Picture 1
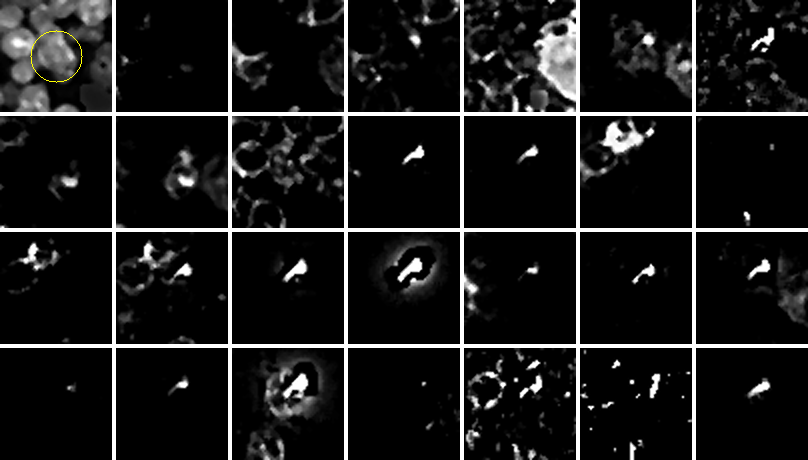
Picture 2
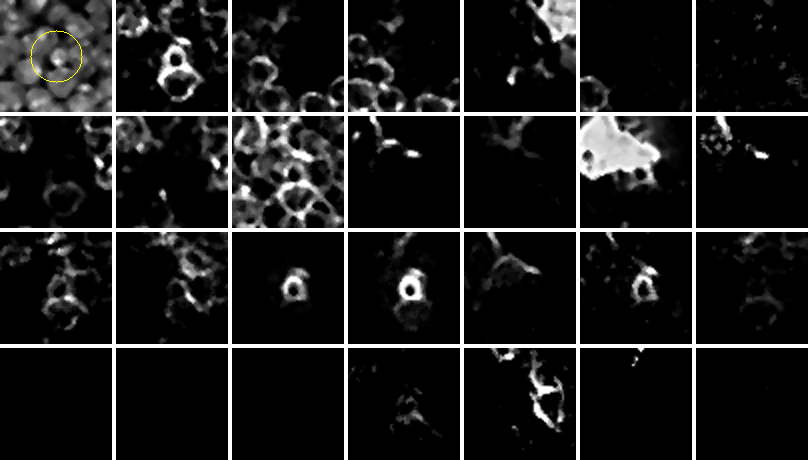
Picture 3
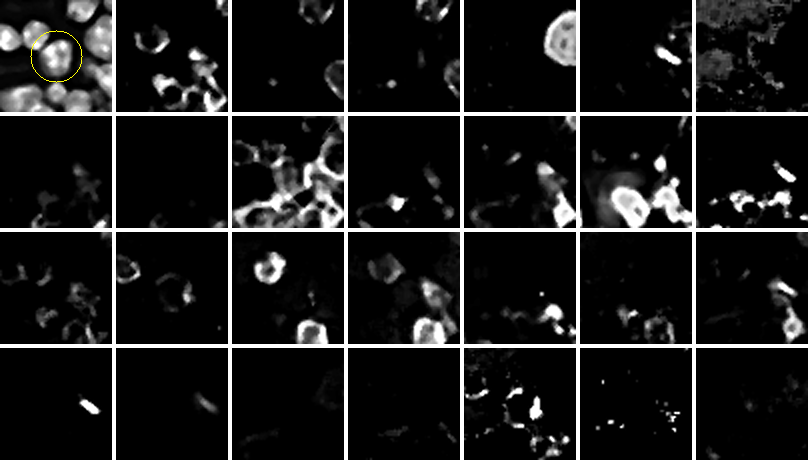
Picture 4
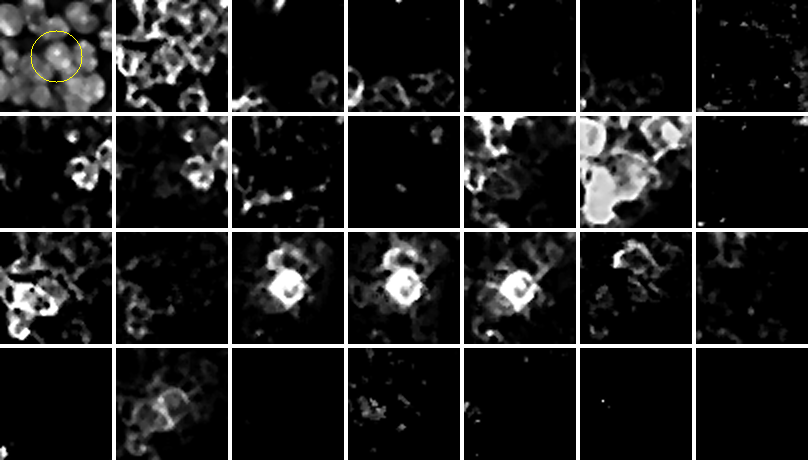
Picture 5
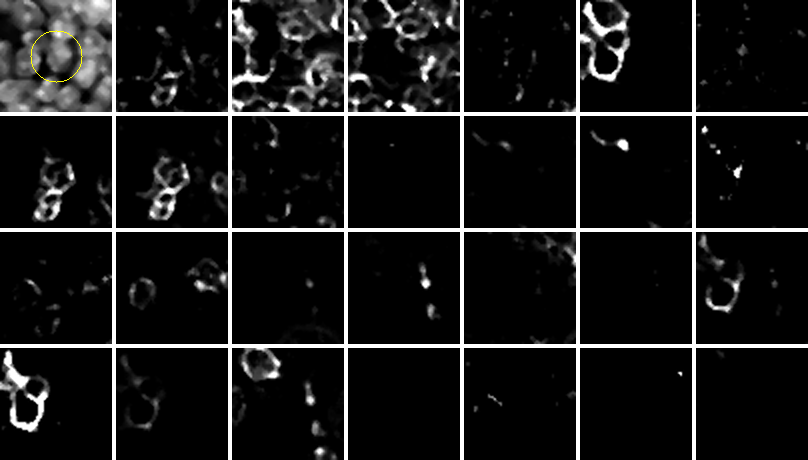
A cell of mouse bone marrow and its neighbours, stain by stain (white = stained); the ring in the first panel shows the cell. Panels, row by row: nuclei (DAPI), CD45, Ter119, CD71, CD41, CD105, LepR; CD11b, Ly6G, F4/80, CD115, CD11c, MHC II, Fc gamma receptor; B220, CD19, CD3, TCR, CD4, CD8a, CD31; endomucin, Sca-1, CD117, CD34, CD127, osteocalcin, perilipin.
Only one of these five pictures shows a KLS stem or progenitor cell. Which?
Picture 1.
